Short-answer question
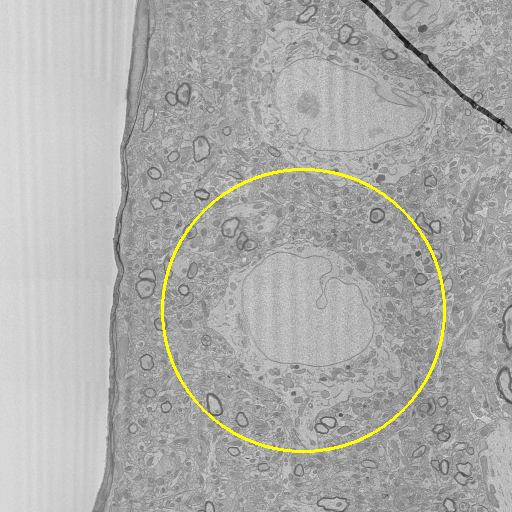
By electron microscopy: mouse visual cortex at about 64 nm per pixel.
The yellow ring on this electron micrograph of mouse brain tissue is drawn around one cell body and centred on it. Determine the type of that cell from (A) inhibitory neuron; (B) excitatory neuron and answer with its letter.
B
